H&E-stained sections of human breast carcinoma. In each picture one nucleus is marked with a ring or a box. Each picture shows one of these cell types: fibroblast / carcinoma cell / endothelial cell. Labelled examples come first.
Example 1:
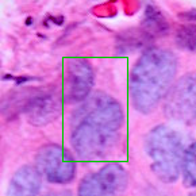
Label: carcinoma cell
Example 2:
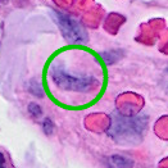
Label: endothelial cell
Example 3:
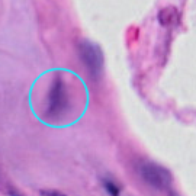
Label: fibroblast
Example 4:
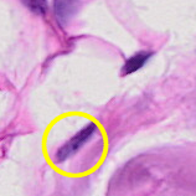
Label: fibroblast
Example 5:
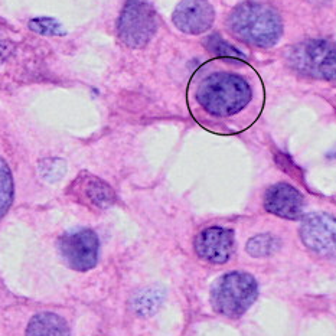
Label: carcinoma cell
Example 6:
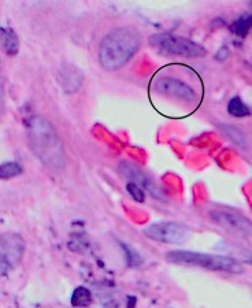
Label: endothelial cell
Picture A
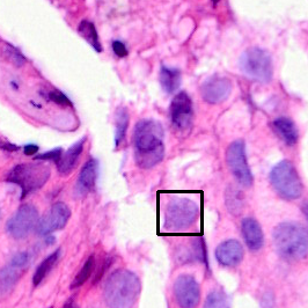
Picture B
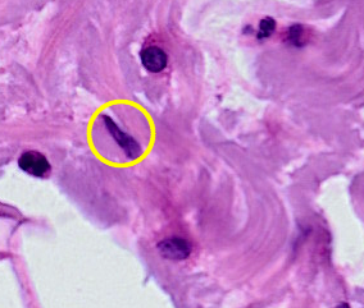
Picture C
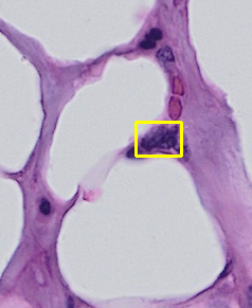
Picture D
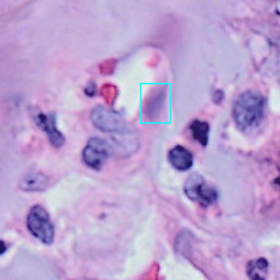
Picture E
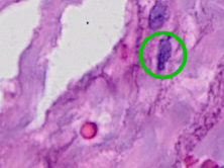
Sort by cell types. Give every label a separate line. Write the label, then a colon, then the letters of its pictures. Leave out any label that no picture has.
fibroblast: B, E
carcinoma cell: A
endothelial cell: C, D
